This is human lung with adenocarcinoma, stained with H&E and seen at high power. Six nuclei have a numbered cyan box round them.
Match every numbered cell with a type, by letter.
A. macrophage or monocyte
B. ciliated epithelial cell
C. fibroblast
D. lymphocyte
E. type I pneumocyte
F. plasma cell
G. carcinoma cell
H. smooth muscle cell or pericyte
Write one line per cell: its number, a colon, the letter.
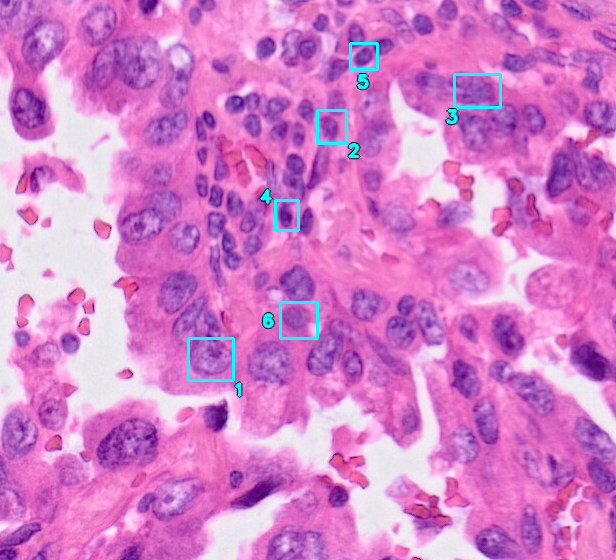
1: G
2: D
3: G
4: D
5: D
6: G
